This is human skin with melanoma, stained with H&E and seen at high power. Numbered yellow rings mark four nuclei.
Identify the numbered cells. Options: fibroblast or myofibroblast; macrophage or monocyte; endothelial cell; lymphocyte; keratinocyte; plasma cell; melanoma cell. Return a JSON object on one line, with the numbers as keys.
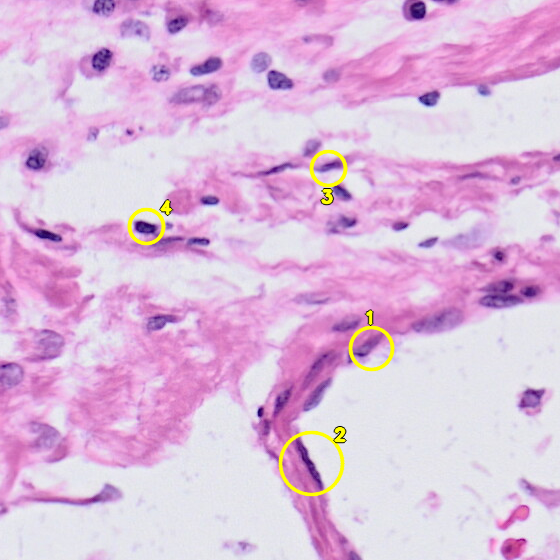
{"1": "endothelial cell", "2": "endothelial cell", "3": "fibroblast or myofibroblast", "4": "lymphocyte"}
